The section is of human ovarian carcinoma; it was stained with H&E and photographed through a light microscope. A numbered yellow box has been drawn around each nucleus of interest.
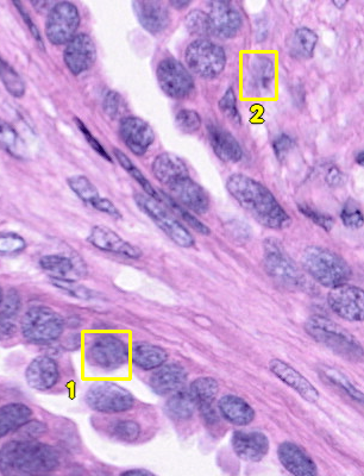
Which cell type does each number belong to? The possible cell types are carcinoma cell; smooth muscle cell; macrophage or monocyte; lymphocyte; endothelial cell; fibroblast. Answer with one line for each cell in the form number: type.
1: carcinoma cell
2: fibroblast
